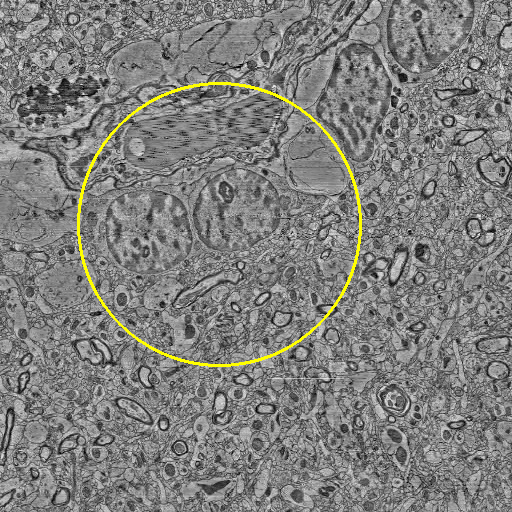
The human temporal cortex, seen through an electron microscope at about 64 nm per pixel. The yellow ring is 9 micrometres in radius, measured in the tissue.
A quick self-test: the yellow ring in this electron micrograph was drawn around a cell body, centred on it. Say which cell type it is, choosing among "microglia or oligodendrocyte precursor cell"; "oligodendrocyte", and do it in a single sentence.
The yellow-ringed cell is an oligodendrocyte.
